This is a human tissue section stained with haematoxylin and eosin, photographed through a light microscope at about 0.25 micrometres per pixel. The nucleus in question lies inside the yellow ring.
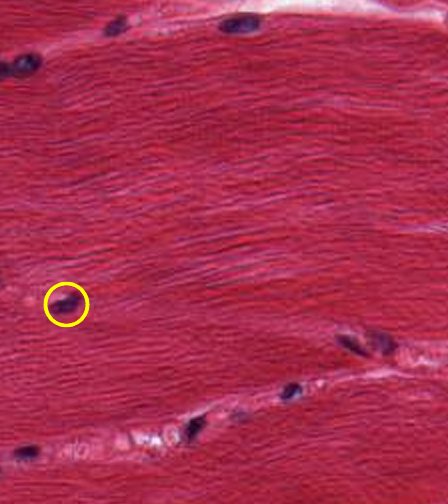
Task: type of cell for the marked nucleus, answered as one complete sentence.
To a skeletal muscle fibre belongs the marked nucleus.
